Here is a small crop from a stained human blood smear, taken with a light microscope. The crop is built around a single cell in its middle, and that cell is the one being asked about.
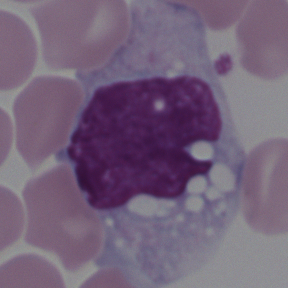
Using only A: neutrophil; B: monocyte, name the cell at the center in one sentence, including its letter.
Occupying the middle of the crop is a monocyte, hence option B is correct.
